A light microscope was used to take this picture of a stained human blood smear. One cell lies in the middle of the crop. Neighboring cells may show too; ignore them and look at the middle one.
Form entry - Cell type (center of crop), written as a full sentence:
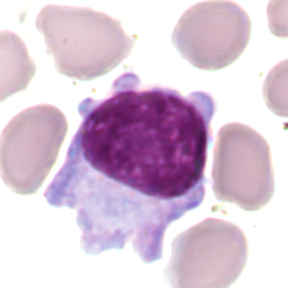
At the center of the crop sits a plasma cell.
